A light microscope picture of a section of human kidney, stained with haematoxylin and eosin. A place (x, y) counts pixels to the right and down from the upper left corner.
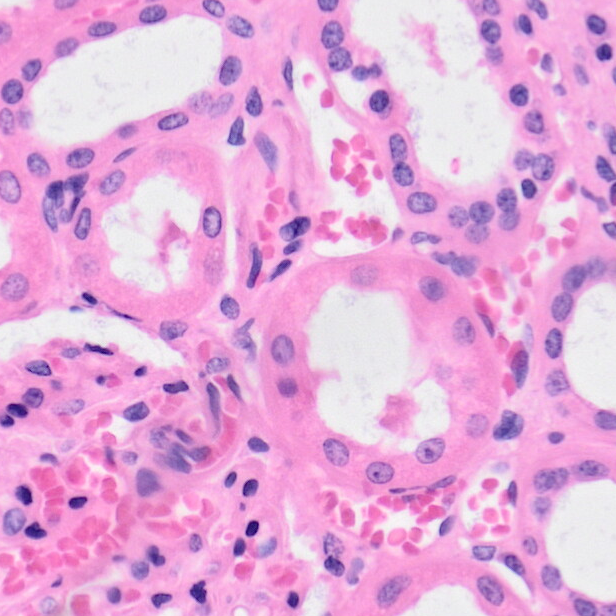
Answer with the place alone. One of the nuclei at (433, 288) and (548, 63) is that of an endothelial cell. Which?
(548, 63)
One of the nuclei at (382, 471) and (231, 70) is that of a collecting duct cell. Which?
(231, 70)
